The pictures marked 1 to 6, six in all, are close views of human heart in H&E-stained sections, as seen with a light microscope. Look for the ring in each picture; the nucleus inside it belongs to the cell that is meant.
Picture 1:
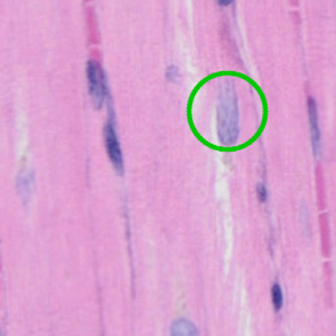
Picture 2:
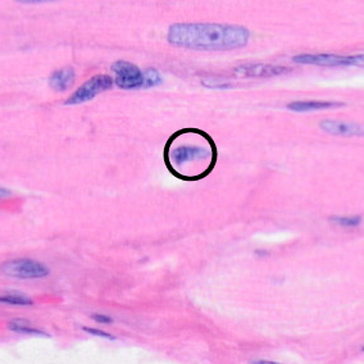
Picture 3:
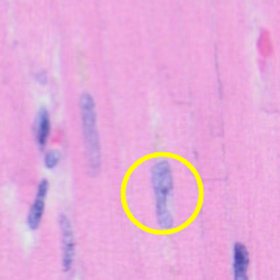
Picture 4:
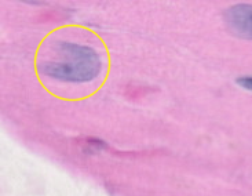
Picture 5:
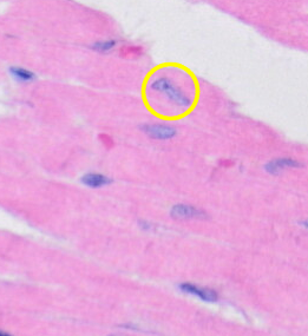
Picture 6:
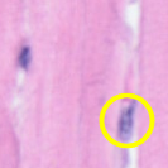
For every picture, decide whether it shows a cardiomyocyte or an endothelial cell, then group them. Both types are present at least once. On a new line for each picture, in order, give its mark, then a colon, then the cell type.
1: cardiomyocyte
2: endothelial cell
3: cardiomyocyte
4: cardiomyocyte
5: cardiomyocyte
6: endothelial cell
